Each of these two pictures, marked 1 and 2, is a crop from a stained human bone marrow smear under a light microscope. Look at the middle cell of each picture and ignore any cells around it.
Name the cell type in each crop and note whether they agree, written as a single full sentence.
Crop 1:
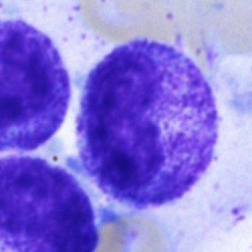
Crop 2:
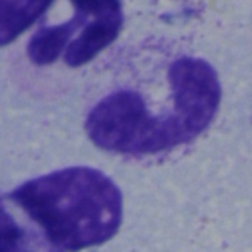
No, in fact crop 1 shows a metamyelocyte, and crop 2 shows a band neutrophil.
